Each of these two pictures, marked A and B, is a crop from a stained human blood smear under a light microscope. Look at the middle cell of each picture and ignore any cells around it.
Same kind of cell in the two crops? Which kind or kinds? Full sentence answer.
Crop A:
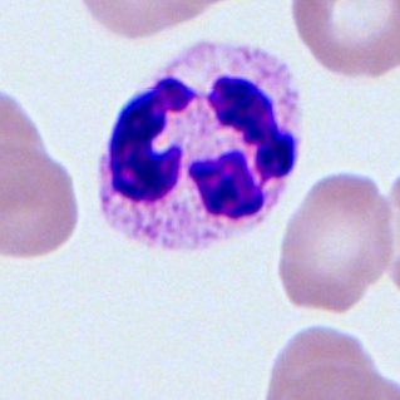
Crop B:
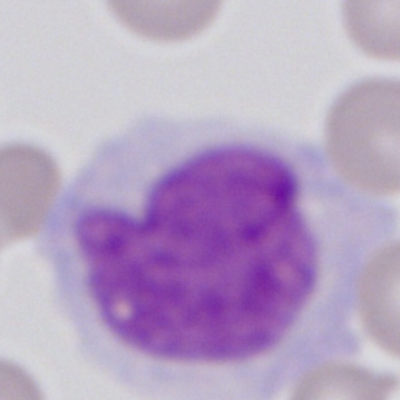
No, it is crop A that shows a segmented neutrophil, and crop B shows a monocyte.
